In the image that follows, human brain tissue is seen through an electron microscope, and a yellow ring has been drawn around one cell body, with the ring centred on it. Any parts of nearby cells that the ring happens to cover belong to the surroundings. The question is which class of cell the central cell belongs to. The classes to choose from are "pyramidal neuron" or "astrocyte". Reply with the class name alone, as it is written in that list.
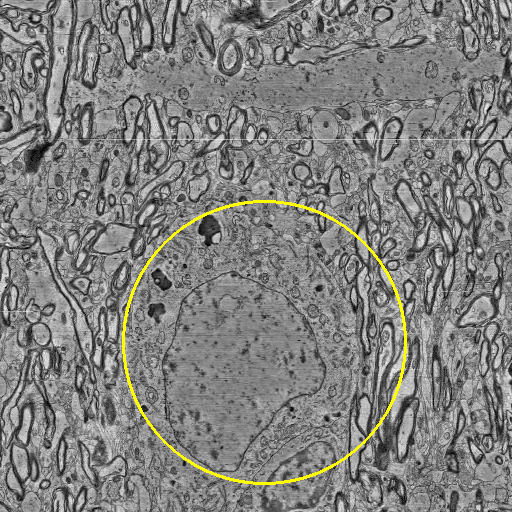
pyramidal neuron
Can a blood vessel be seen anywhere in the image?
No, no vessel appears in the picture.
